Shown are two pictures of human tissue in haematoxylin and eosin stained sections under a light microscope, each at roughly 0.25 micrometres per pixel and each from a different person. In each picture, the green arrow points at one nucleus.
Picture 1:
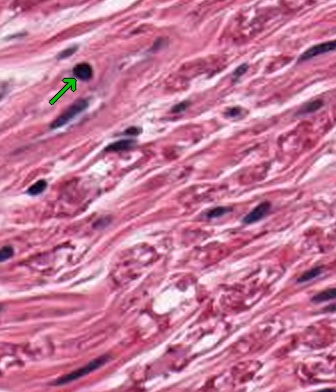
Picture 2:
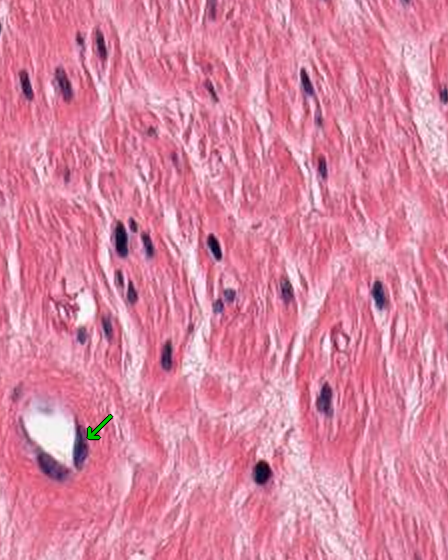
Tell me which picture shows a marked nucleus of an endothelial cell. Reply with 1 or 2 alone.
2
